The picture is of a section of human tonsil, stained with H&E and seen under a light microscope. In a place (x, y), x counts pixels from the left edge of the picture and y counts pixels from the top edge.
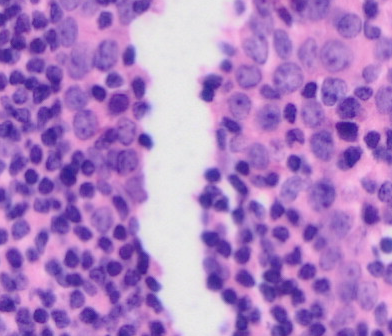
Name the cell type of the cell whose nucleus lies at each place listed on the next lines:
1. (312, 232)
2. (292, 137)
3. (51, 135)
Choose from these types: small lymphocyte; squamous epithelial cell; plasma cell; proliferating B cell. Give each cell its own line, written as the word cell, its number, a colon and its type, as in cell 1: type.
cell 1: proliferating B cell
cell 2: proliferating B cell
cell 3: small lymphocyte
